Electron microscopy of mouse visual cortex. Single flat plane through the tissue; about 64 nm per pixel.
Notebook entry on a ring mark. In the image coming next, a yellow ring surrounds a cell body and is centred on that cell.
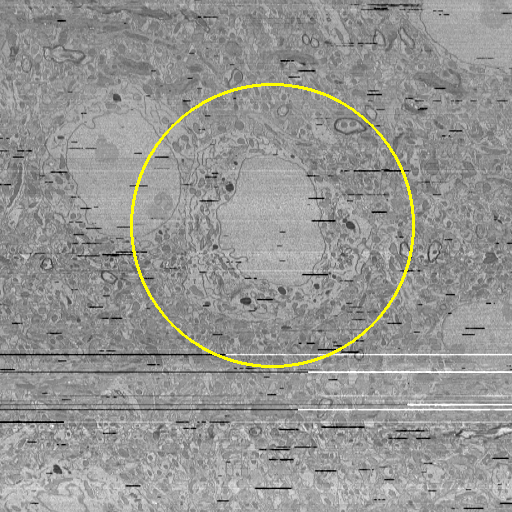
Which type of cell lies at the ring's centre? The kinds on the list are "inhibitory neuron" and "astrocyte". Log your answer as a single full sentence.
Centred in the yellow ring is an inhibitory neuron, the cell recorded for this image.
